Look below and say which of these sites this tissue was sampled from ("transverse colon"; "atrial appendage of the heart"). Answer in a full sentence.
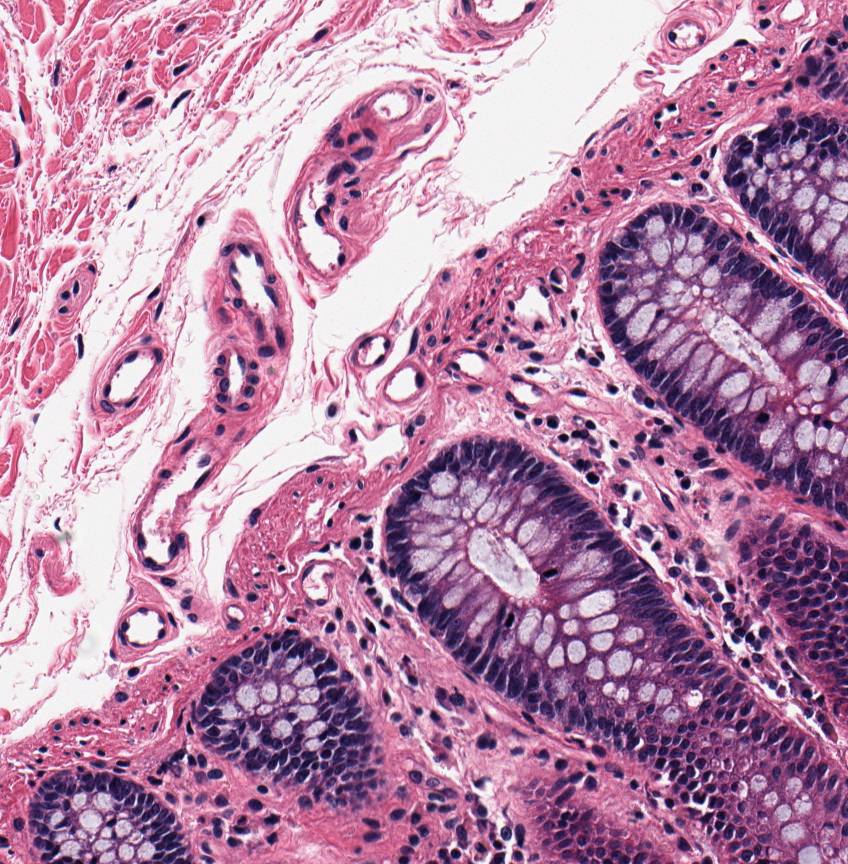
The site this tissue was sampled from is the transverse colon.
